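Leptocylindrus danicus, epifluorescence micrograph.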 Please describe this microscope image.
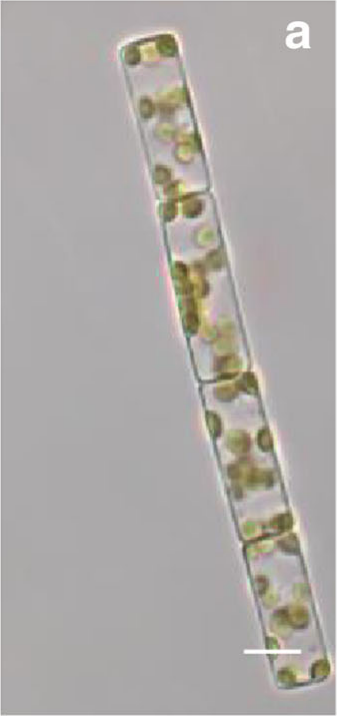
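This is a chain of four vegetative diatom cells, each a long cylinder joined end to end with its neighbours. Inside each cell lie many small round brownish-green chloroplasts scattered along the length, with clear walls between the cells.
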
